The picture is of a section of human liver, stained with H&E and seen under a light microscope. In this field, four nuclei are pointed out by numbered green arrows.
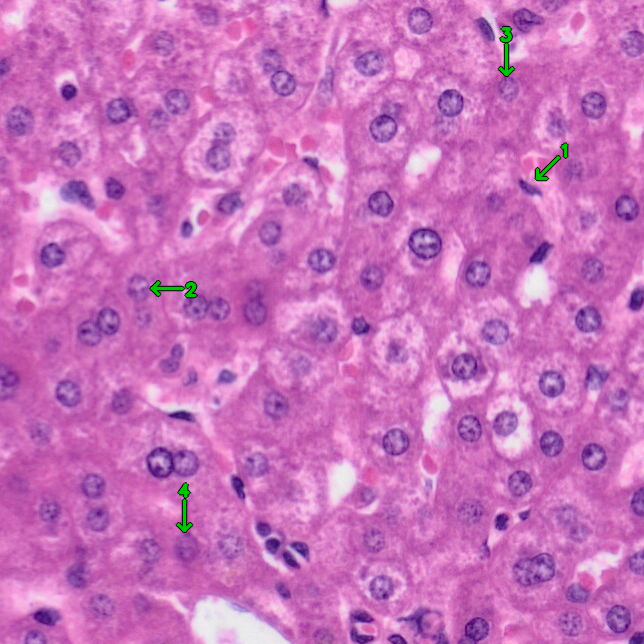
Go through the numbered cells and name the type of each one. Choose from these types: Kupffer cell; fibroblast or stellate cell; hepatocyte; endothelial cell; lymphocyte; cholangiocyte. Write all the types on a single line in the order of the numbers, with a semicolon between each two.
endothelial cell; hepatocyte; hepatocyte; hepatocyte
